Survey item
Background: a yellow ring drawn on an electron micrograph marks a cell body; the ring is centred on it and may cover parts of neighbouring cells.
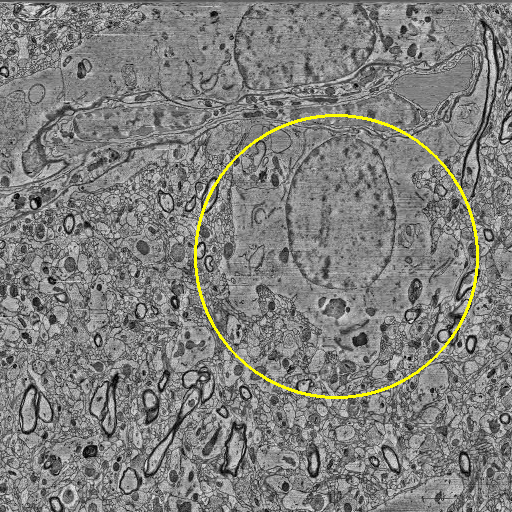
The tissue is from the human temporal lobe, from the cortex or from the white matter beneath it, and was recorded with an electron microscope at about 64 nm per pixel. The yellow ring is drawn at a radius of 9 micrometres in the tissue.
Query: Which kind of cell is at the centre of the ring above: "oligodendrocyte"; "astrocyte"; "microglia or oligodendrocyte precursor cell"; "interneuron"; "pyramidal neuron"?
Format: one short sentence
The cell in the middle of the ring is an astrocyte.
